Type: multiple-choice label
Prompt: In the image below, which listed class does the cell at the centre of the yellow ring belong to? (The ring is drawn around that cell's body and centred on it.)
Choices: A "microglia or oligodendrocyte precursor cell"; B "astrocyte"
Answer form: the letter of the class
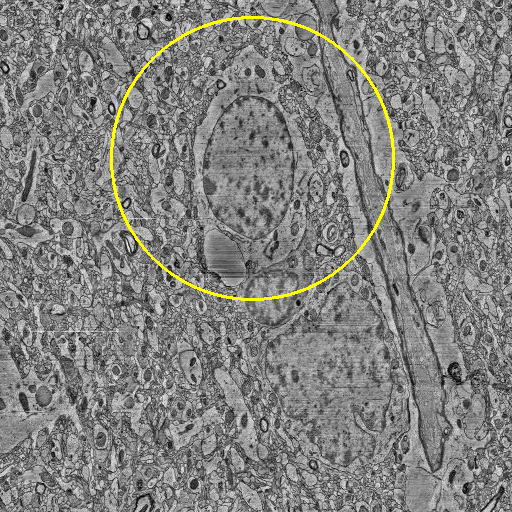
B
